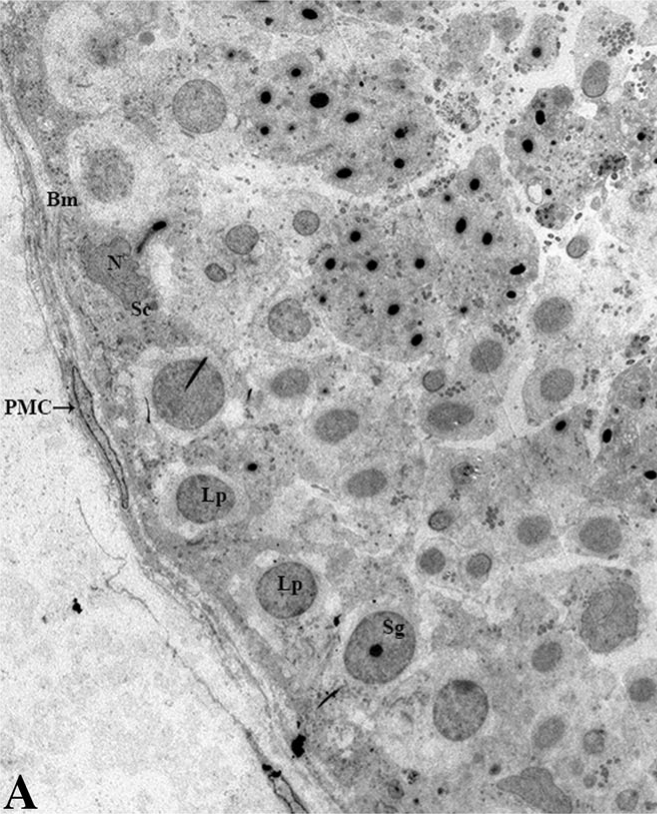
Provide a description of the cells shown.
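Transmission electron micrograph of the wall and epithelium of a seminiferous tubule. Resting on the membrane are a Sertoli cell with an irregular nucleus and spermatogonia with large, round, evenly grey nuclei, some showing a dark nucleolus. Inward, toward the lumen, the epithelium is stratified with many round nuclei of maturing spermatocytes, each surrounded by pale cytoplasm. Nearer the lumen, the cytoplasm holds clusters of small, very electron-dense round and elongated bodies among the cells.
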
